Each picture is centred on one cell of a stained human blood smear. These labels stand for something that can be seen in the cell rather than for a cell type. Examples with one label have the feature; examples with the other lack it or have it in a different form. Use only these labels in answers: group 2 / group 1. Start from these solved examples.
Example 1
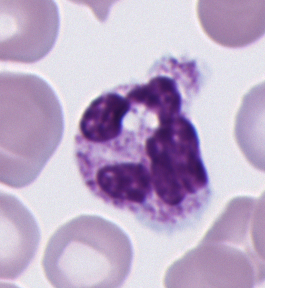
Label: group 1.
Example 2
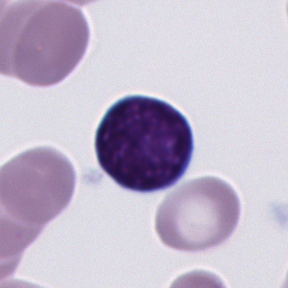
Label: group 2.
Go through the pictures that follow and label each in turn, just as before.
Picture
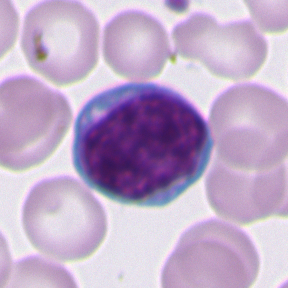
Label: group 2.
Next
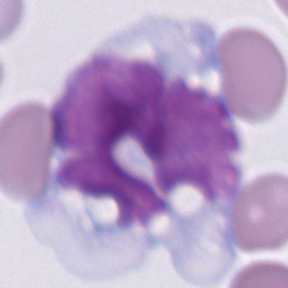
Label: group 1.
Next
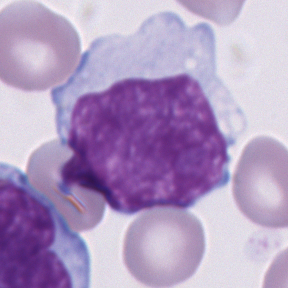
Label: group 1.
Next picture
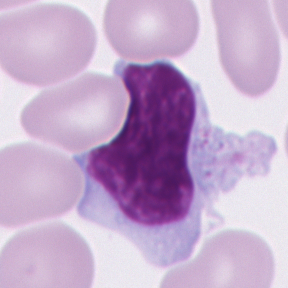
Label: group 1.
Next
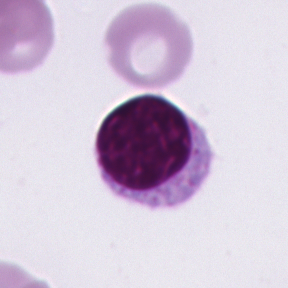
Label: group 2.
